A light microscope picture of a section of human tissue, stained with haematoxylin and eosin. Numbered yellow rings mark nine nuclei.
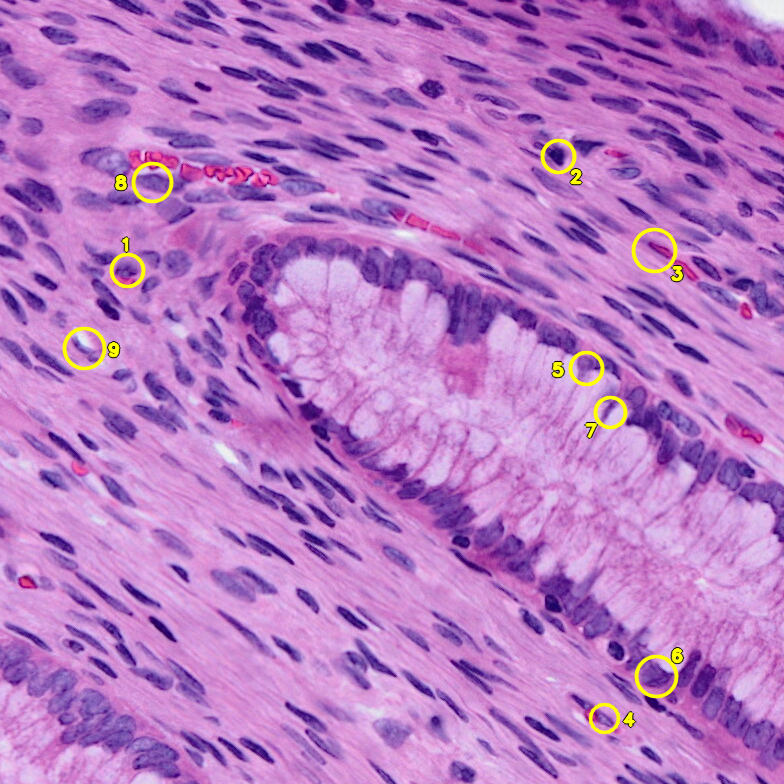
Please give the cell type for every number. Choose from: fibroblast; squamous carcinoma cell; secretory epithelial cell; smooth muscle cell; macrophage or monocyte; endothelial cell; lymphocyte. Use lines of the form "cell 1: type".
cell 1: endothelial cell
cell 2: lymphocyte
cell 3: endothelial cell
cell 4: endothelial cell
cell 5: secretory epithelial cell
cell 6: secretory epithelial cell
cell 7: secretory epithelial cell
cell 8: endothelial cell
cell 9: endothelial cell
